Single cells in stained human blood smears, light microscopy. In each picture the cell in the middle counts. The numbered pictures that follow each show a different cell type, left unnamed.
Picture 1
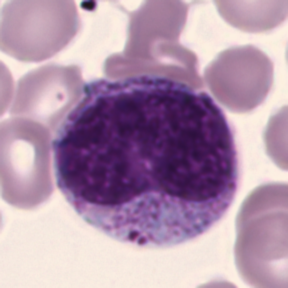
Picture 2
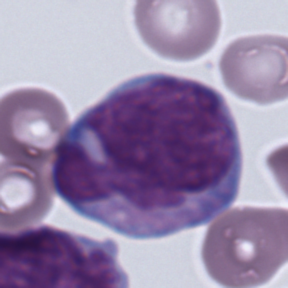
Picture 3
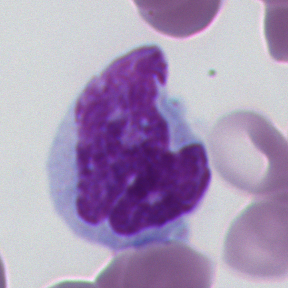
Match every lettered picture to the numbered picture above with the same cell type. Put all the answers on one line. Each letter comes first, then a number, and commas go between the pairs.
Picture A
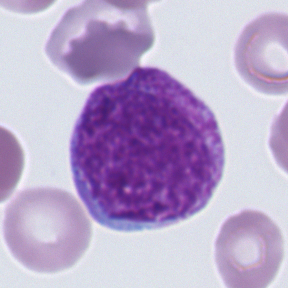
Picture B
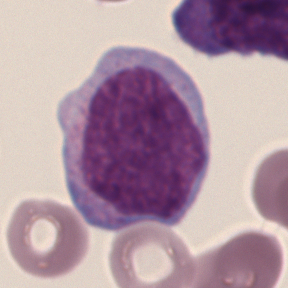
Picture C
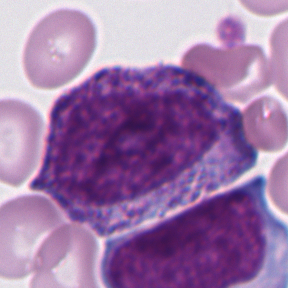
A 2, B 2, C 1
